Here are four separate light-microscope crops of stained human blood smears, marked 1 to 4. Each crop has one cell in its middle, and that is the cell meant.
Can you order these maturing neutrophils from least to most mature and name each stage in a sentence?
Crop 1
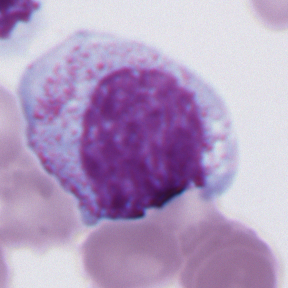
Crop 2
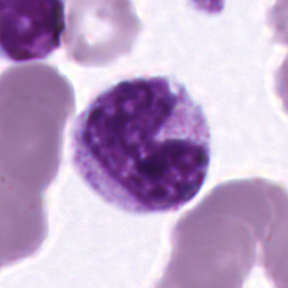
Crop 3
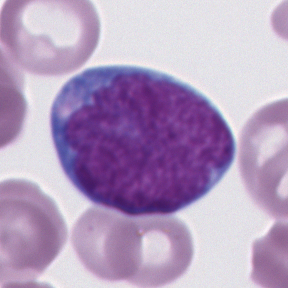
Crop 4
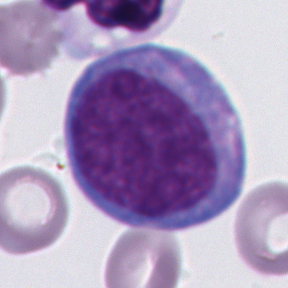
The ordering by maturity, from earliest to most mature, is crop 3 (a blast), crop 4 (a promyelocyte), crop 1 (a myelocyte) and crop 2 (a metamyelocyte).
